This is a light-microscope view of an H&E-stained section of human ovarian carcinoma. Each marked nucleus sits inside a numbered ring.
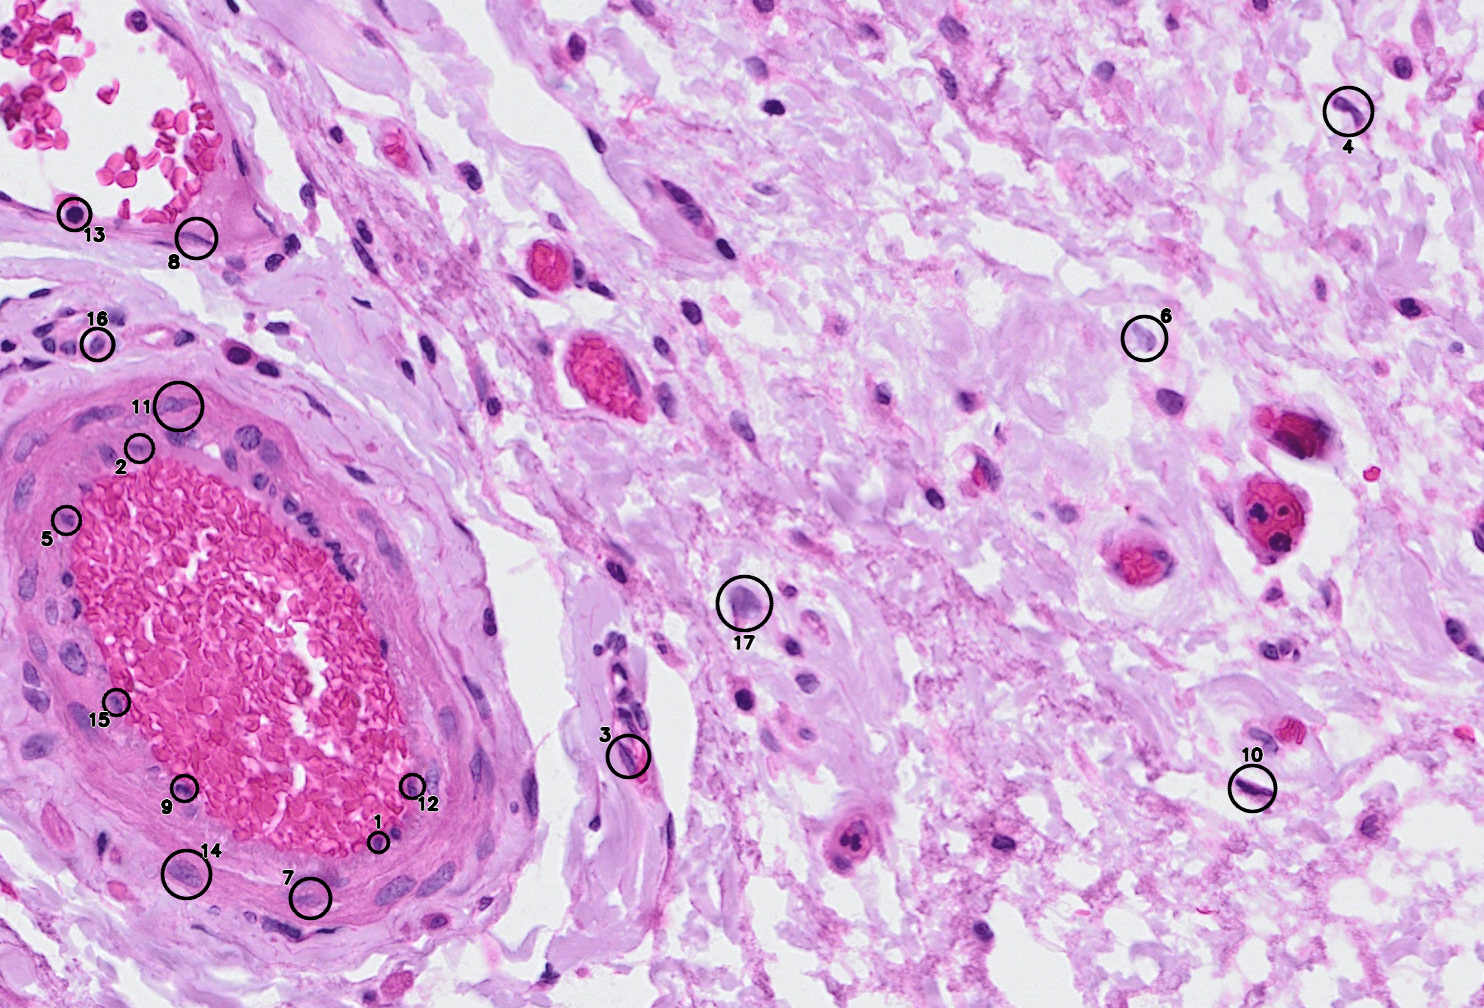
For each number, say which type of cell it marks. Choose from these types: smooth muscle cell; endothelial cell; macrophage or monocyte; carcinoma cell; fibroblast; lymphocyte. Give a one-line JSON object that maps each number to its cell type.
{"1": "endothelial cell", "2": "endothelial cell", "3": "endothelial cell", "4": "fibroblast", "5": "endothelial cell", "6": "fibroblast", "7": "smooth muscle cell", "8": "endothelial cell", "9": "endothelial cell", "10": "fibroblast", "11": "smooth muscle cell", "12": "endothelial cell", "13": "lymphocyte", "14": "smooth muscle cell", "15": "endothelial cell", "16": "endothelial cell", "17": "fibroblast"}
